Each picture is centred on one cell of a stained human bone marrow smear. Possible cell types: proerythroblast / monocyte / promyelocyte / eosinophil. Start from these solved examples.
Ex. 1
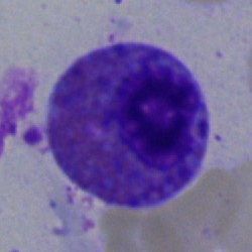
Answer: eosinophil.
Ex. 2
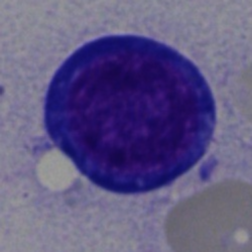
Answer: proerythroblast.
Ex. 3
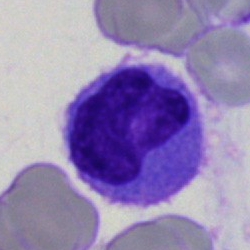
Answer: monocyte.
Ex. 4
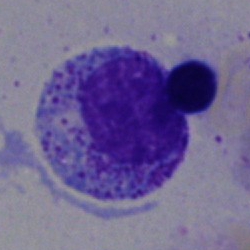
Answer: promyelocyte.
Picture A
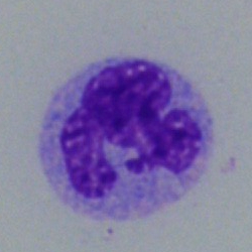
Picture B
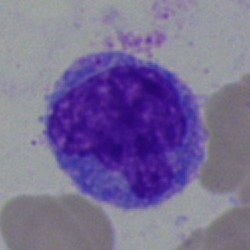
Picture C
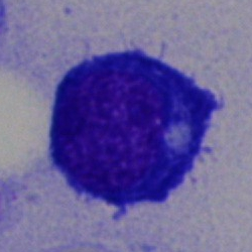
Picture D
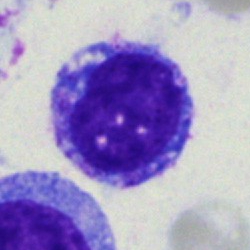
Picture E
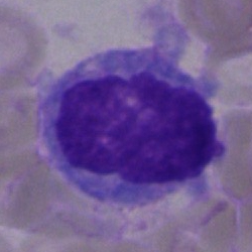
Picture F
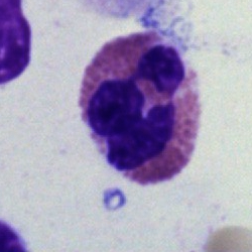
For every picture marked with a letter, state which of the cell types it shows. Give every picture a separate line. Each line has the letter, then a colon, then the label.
A: monocyte.
B: monocyte.
C: proerythroblast.
D: monocyte.
E: promyelocyte.
F: eosinophil.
